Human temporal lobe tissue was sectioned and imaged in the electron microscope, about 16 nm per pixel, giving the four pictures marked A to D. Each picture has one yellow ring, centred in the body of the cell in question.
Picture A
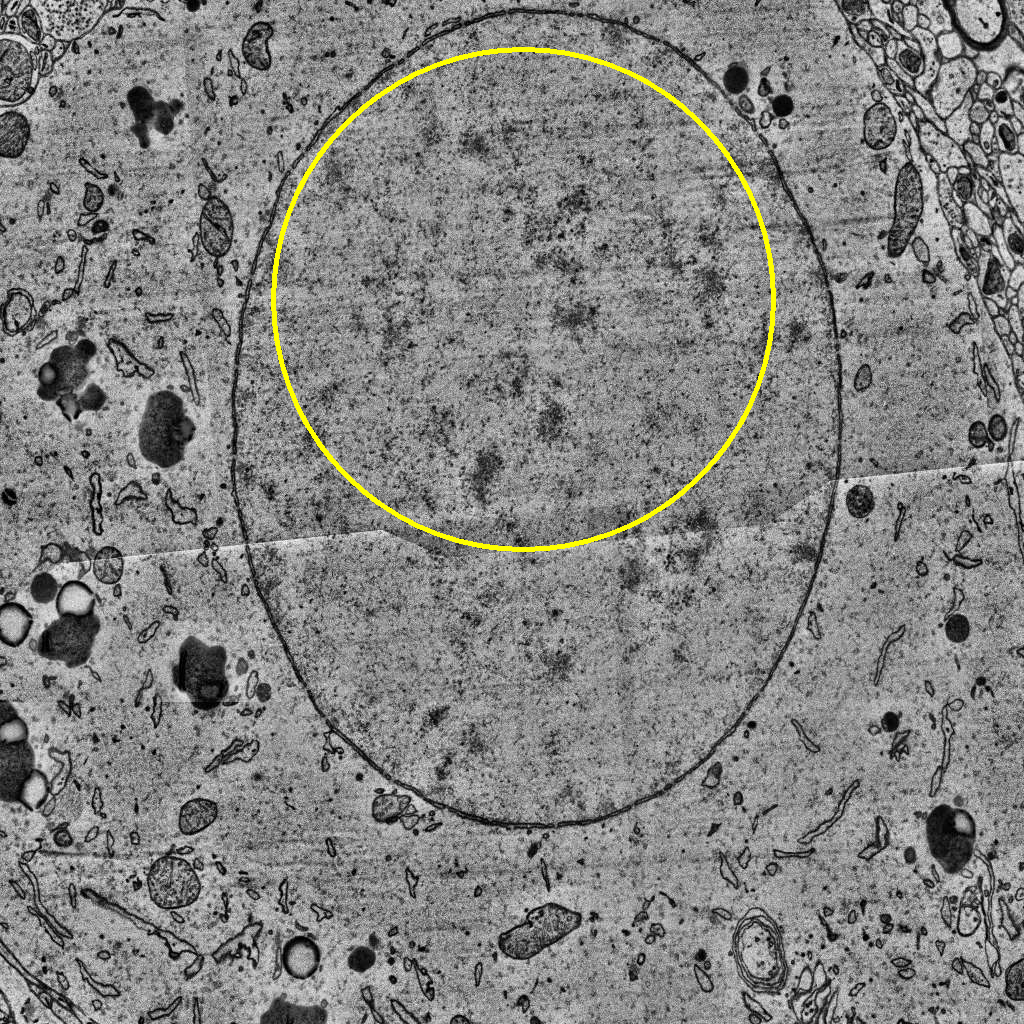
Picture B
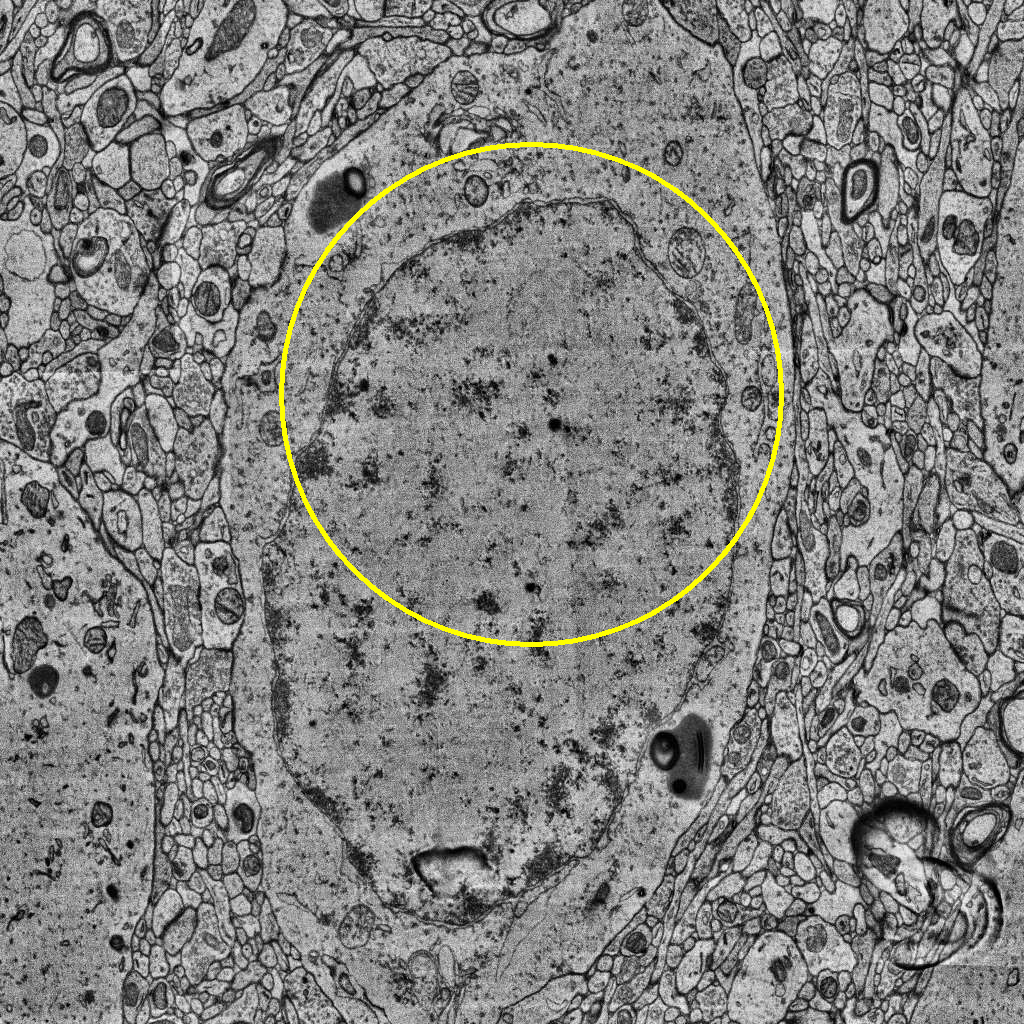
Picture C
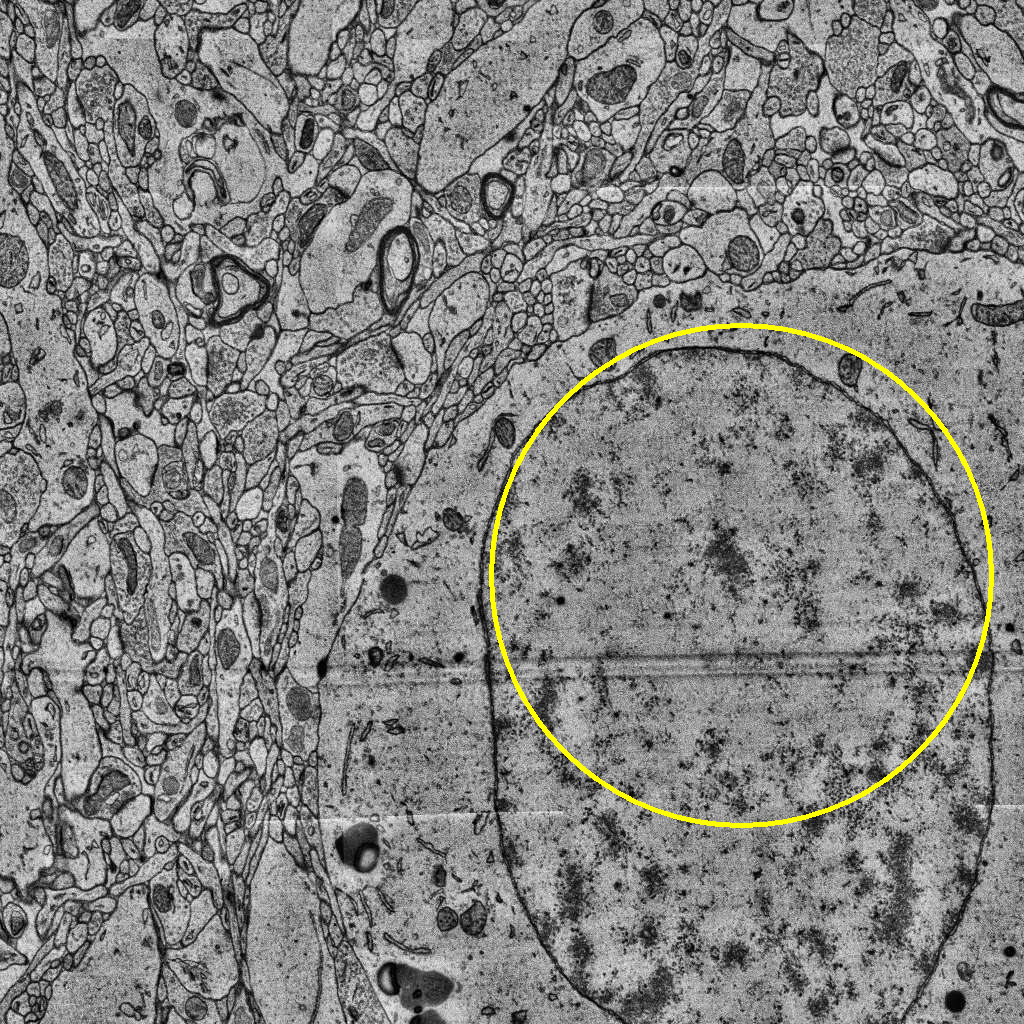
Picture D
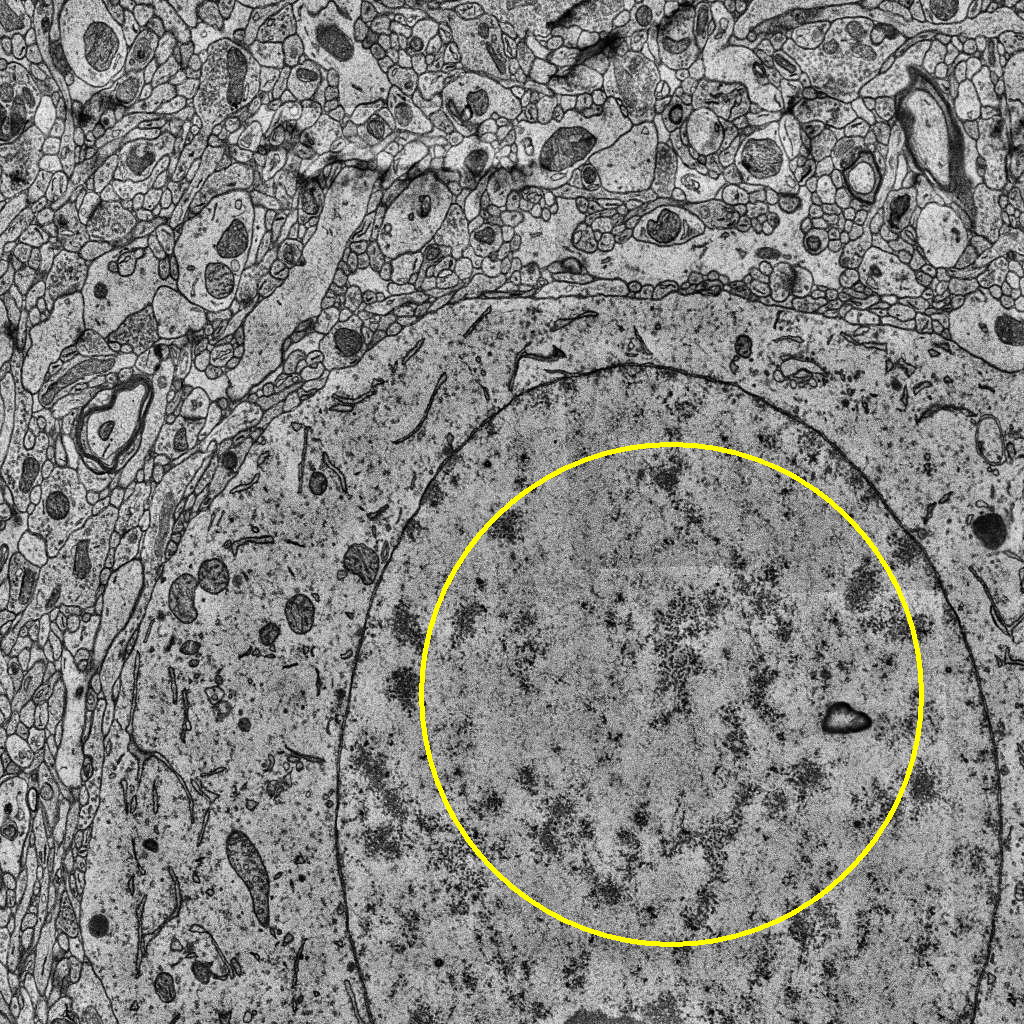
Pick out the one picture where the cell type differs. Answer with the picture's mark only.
B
